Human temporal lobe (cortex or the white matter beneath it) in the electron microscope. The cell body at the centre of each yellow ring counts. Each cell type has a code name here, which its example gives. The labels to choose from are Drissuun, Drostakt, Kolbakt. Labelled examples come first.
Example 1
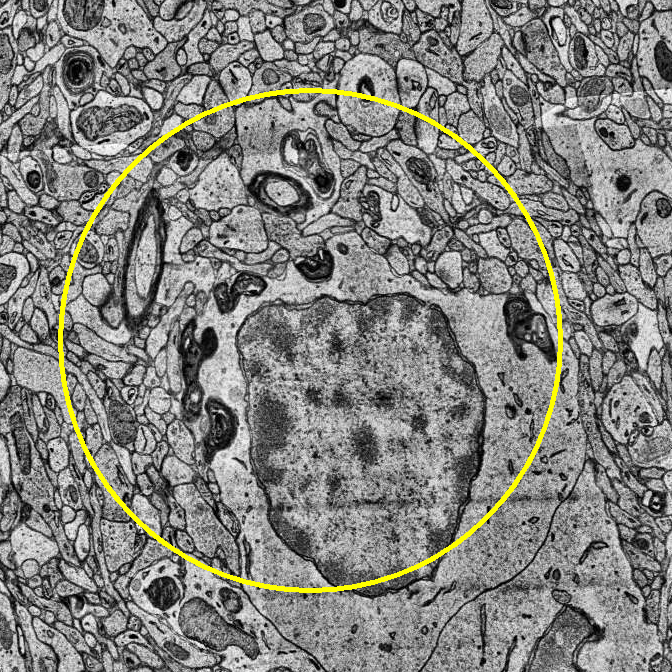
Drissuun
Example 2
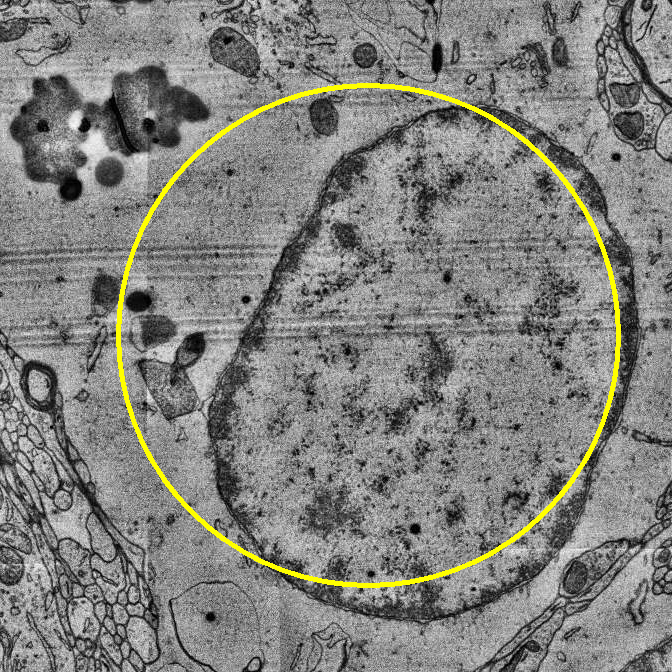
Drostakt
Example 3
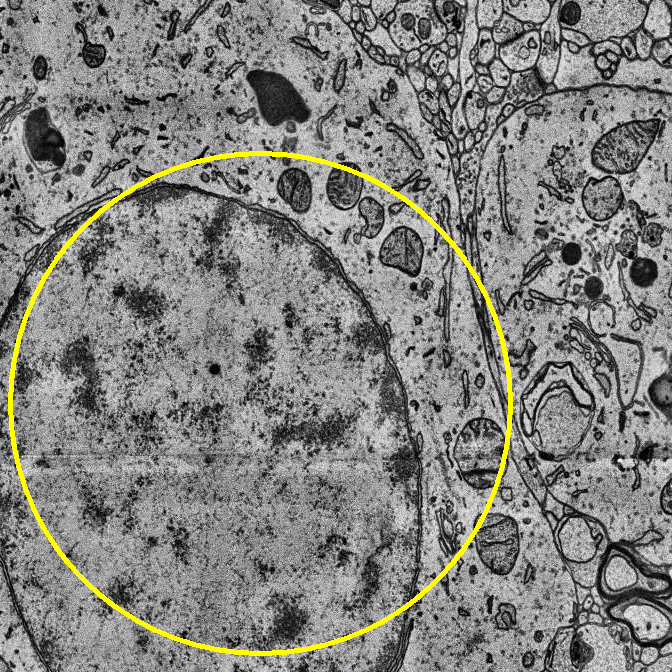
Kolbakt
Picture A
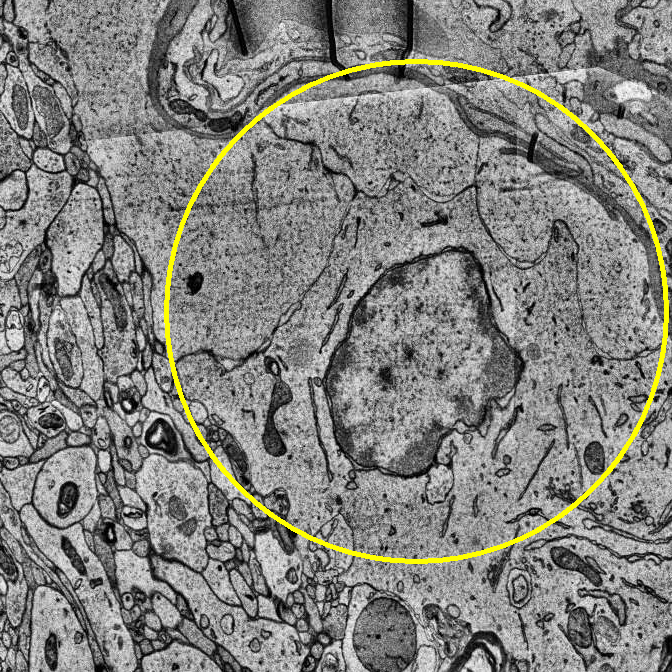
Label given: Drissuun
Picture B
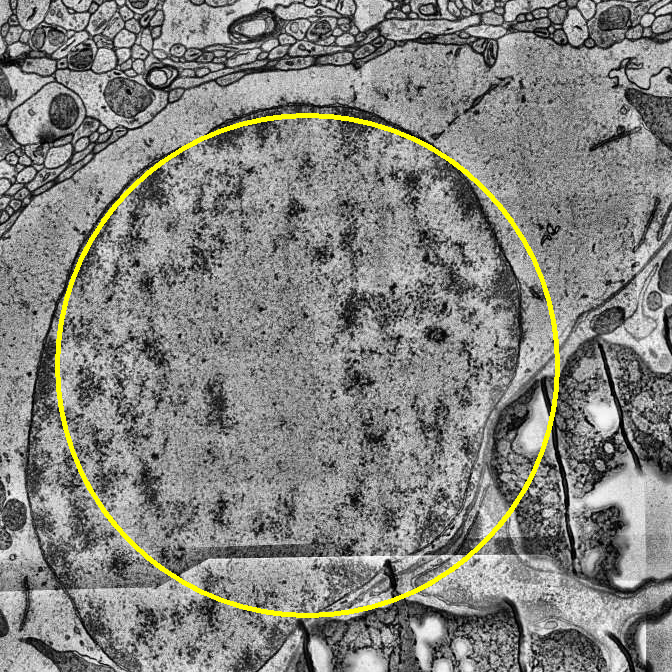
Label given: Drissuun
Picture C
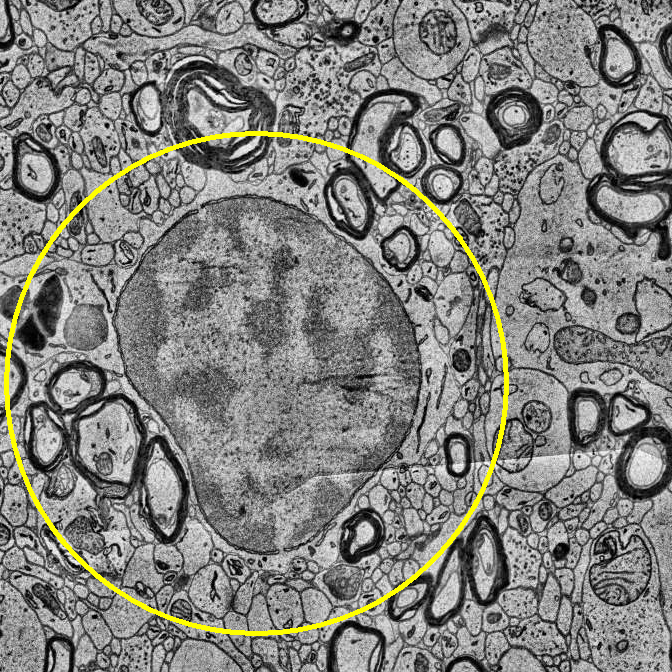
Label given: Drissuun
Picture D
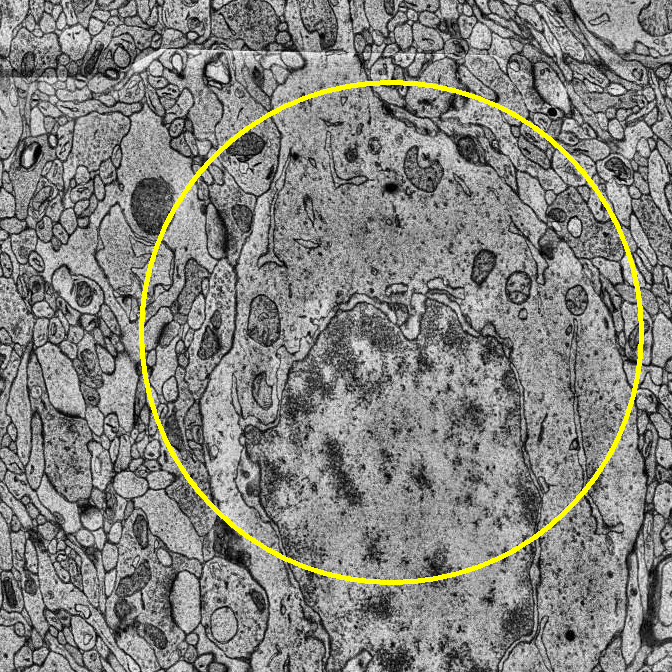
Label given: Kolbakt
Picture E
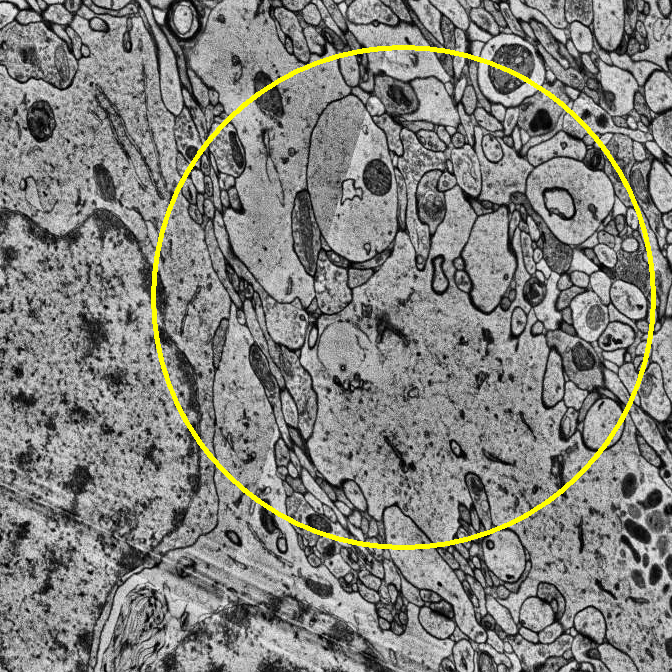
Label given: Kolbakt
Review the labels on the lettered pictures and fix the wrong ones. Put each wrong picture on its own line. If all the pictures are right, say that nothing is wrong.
B should be Drostakt, not Drissuun
E should be Drostakt, not Kolbakt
